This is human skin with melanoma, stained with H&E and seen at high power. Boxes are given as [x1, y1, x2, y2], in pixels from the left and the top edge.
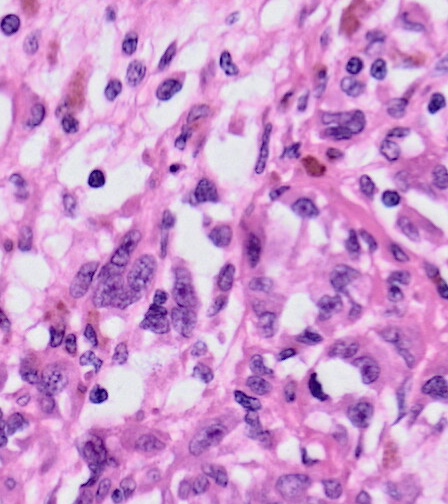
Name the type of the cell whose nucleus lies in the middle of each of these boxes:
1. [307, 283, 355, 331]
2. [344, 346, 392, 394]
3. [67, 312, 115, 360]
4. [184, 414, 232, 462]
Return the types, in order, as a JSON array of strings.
["melanoma cell", "melanoma cell", "macrophage or monocyte", "melanoma cell"]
